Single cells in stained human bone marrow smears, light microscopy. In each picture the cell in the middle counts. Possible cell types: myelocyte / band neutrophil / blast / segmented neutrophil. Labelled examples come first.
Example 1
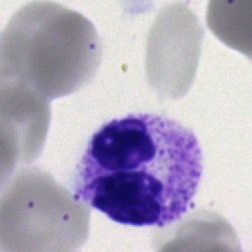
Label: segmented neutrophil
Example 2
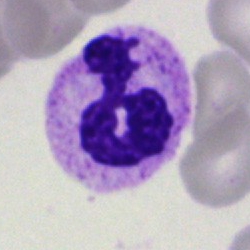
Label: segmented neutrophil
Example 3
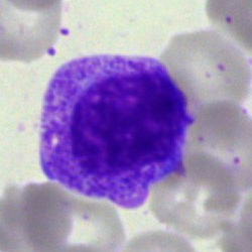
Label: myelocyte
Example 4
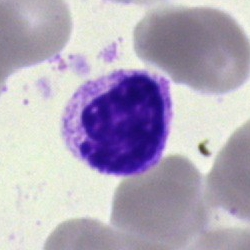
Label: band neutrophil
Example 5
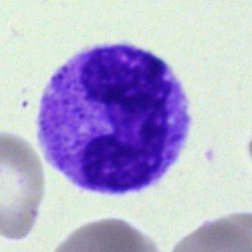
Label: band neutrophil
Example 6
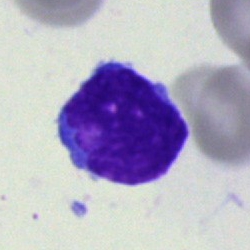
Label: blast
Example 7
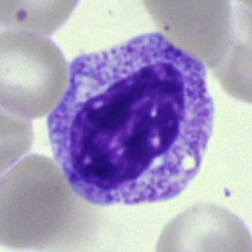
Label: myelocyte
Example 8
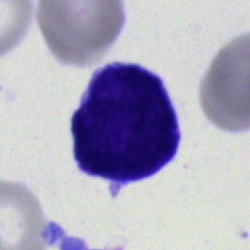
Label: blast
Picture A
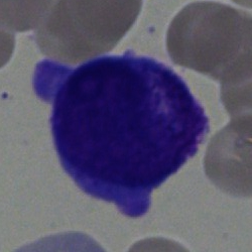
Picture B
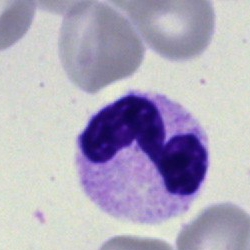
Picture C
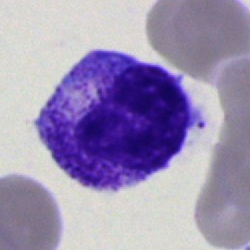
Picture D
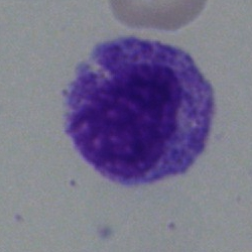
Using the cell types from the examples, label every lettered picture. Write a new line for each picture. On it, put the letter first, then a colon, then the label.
A: blast
B: segmented neutrophil
C: myelocyte
D: myelocyte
